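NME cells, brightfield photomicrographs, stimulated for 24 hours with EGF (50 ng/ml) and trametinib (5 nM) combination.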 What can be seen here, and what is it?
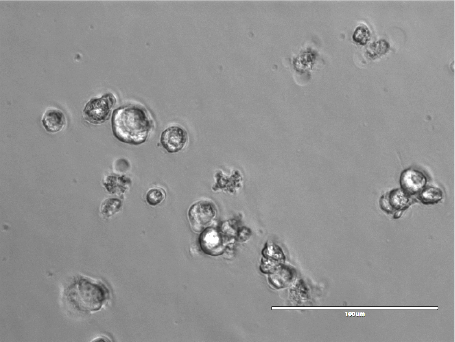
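These are cultured epithelial cells, but here almost none of them are spread flat on the dish. Instead the field holds scattered single cells and small clumps of two to four cells that are rounded and bright-edged. Several of them show irregular bulging outlines, like blebs on their surface, and some appear shrunken and fragmented. No flat sheet or attached cluster with protrusions is left, and large stretches of empty background lie between the rounded cells.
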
